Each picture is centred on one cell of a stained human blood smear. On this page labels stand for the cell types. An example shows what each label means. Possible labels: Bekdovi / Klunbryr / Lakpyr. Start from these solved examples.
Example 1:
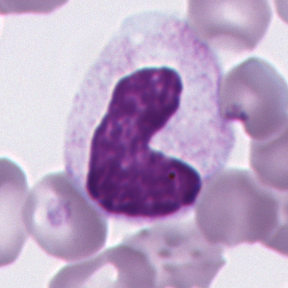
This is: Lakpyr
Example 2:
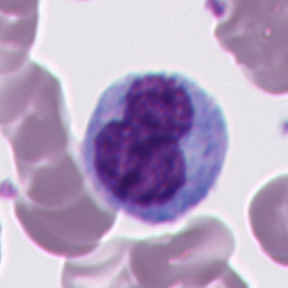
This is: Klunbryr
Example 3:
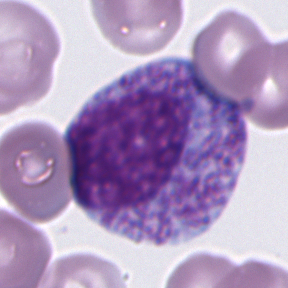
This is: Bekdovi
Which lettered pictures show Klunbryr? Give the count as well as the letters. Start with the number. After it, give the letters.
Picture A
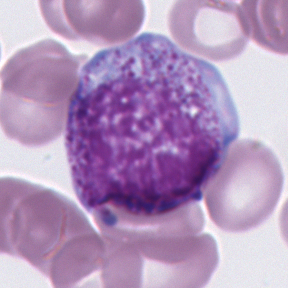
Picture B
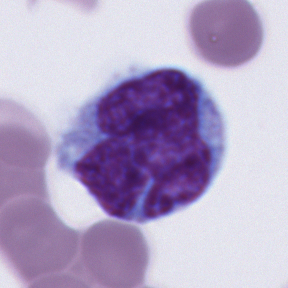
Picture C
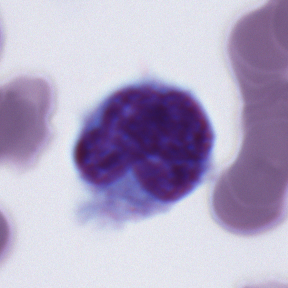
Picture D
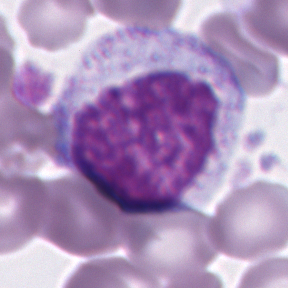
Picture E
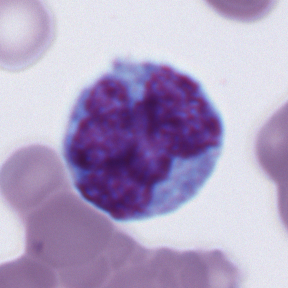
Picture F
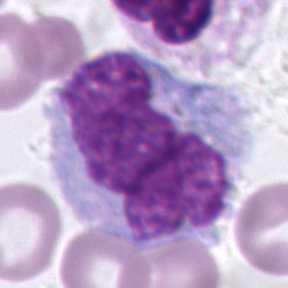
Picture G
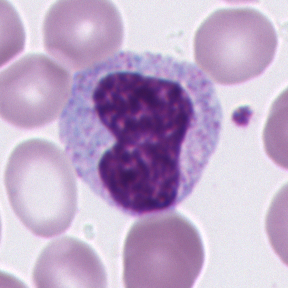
Count: 4 (B, C, E, F)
